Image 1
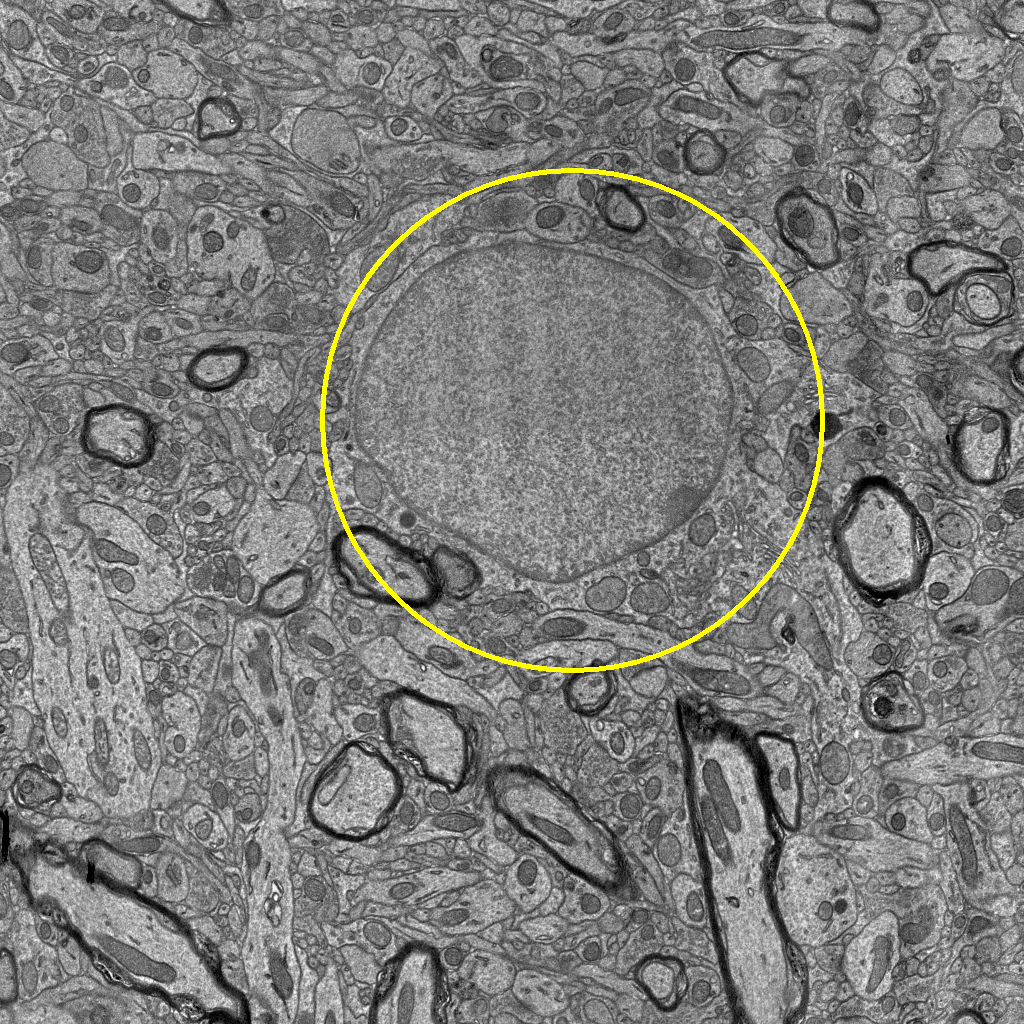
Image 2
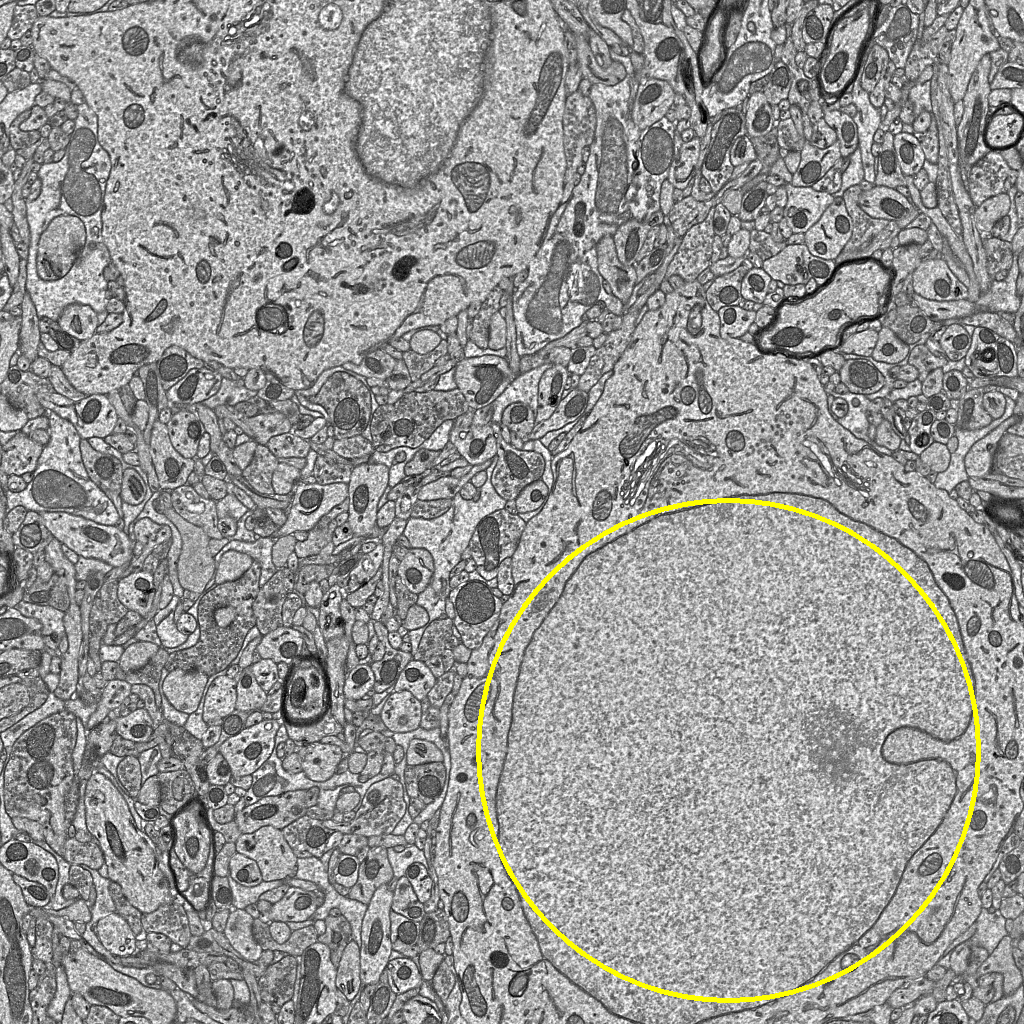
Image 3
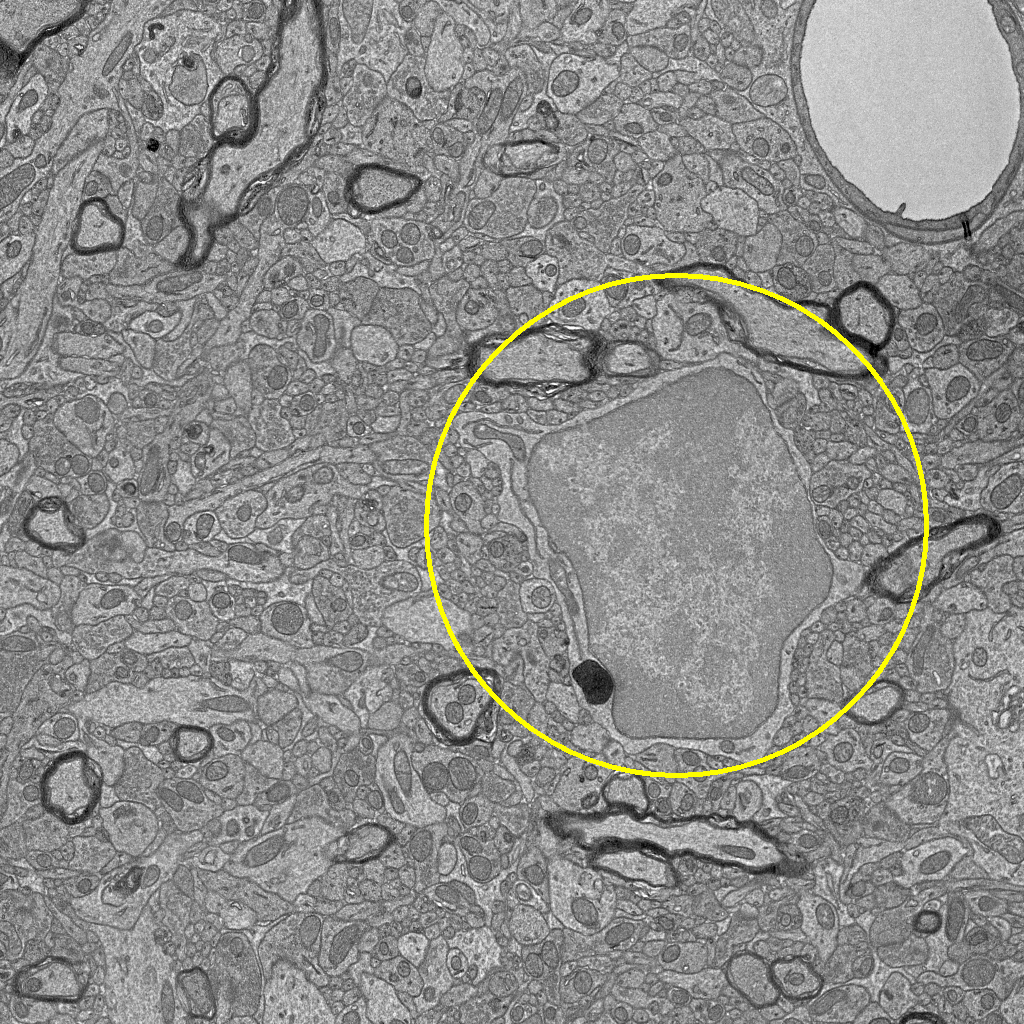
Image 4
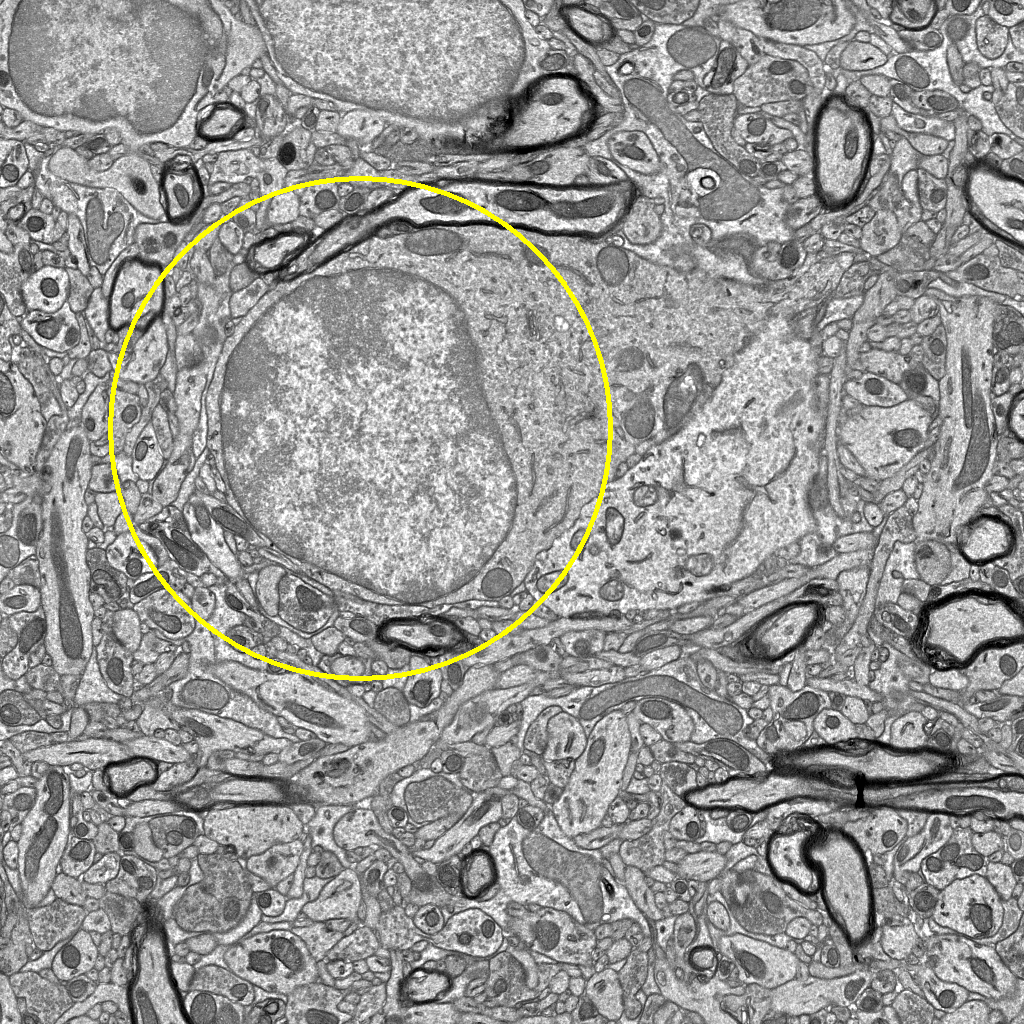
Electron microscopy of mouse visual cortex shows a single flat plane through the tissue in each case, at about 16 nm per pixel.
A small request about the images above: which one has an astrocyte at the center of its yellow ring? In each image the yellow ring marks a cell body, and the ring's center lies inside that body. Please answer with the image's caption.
Image 1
